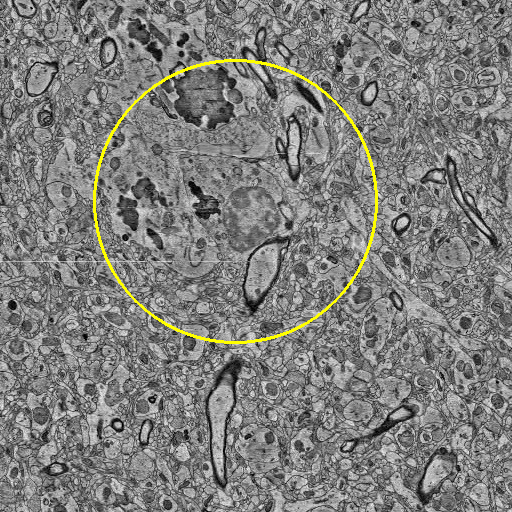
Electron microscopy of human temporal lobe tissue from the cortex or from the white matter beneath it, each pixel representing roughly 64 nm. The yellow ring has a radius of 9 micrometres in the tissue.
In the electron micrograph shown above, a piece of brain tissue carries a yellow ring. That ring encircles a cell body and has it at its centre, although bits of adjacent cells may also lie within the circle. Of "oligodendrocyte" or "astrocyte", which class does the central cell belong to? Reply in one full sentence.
The cell body at the centre of the yellow ring belongs to an oligodendrocyte.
